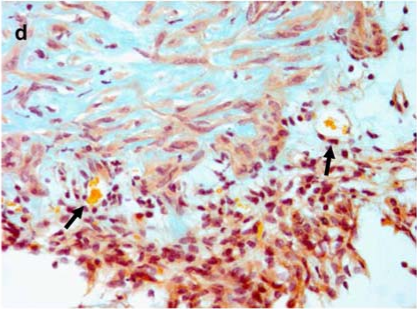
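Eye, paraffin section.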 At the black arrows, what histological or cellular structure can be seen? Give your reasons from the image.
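Small round lumens are bounded by flattened cells. So: blood vessels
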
